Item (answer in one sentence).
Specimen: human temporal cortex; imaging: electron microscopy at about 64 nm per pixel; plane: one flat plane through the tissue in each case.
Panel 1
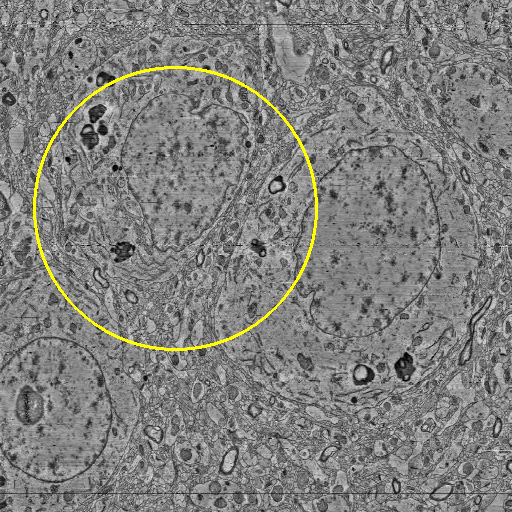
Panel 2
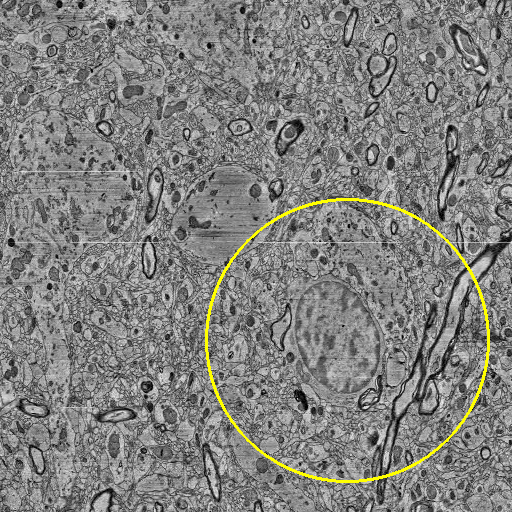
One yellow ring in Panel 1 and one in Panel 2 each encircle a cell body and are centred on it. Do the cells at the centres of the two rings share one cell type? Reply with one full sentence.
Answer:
No, Panel 1 and Panel 2 show cells of two types at the centres of their rings.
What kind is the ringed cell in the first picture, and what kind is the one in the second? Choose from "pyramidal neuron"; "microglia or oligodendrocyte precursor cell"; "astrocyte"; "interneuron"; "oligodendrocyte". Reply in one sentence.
The first cell is an interneuron; the second is an oligodendrocyte.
